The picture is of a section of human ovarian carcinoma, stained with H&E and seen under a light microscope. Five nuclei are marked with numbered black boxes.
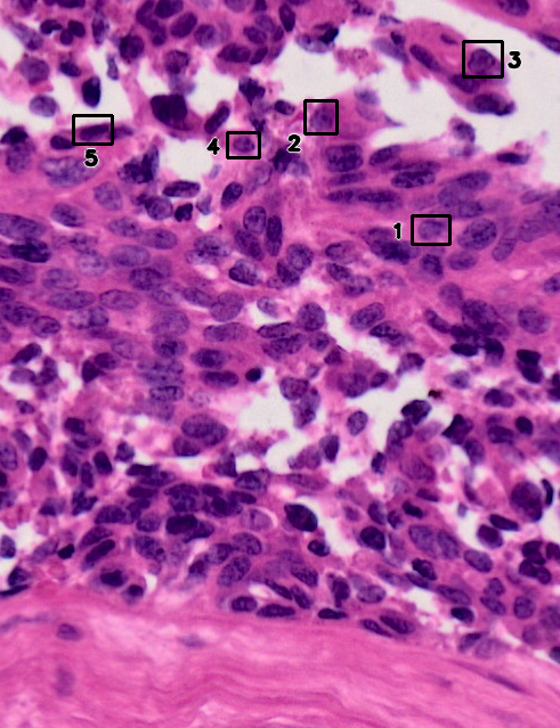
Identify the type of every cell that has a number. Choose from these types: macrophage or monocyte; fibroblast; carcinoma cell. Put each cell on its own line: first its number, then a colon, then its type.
1: macrophage or monocyte
2: carcinoma cell
3: carcinoma cell
4: macrophage or monocyte
5: carcinoma cell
